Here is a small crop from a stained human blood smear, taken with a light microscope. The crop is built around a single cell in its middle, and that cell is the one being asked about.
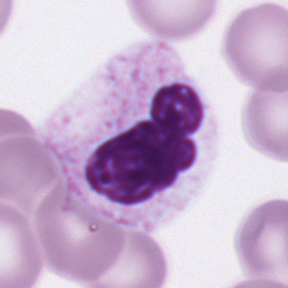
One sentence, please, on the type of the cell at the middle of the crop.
At the middle of the frame sits a segmented neutrophil.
